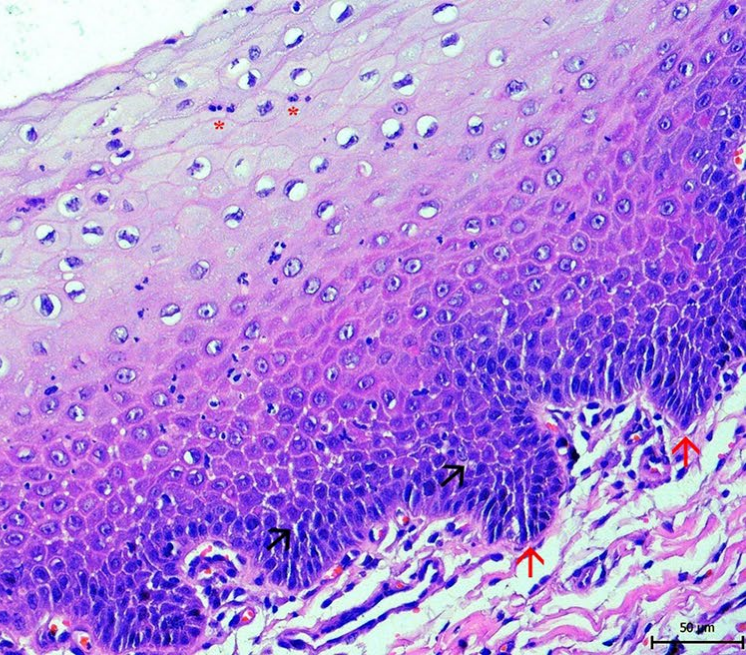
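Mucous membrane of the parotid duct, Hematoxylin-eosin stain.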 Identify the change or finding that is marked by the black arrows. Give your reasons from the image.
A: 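Spongiosis. Pale gaps separate the cells in the lower epithelial layers.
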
